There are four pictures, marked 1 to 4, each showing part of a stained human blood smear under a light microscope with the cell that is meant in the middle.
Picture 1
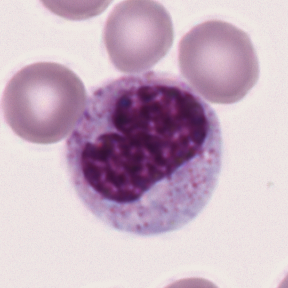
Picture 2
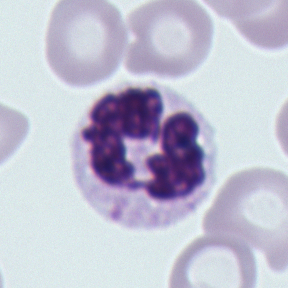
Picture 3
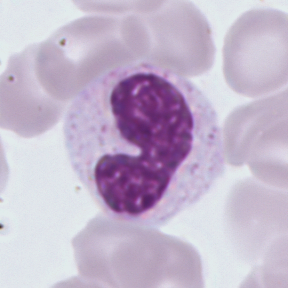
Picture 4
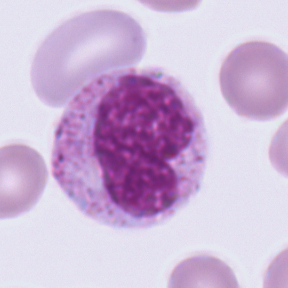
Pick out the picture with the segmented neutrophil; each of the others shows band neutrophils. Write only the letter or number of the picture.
2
